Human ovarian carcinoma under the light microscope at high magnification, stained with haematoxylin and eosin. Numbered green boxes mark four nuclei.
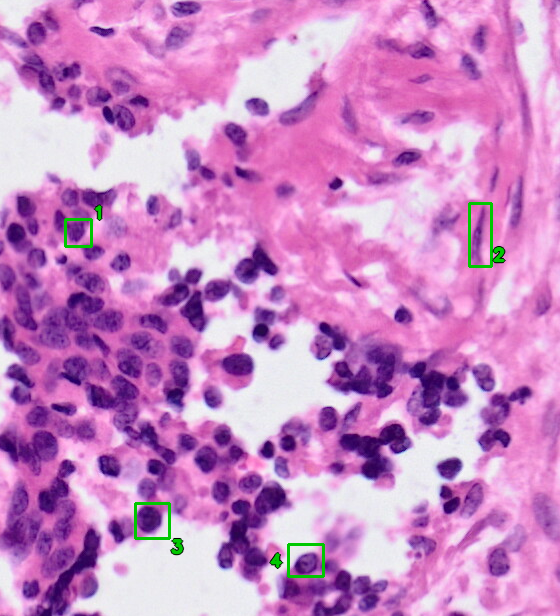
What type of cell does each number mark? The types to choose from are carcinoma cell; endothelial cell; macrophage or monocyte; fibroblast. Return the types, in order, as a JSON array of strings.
["carcinoma cell", "fibroblast", "carcinoma cell", "macrophage or monocyte"]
